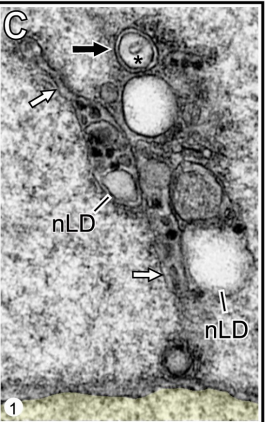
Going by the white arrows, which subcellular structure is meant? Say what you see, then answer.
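Nuclear tubules. Thin membrane-bounded tubular profiles run among the round pale droplets. The tubules lie in the nucleoplasm near the nuclear border at the bottom.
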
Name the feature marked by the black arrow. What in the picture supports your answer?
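Nested vesicle. The black arrow points to a round membrane-bounded vesicle. A smaller profile, marked by an asterisk, lies inside it.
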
